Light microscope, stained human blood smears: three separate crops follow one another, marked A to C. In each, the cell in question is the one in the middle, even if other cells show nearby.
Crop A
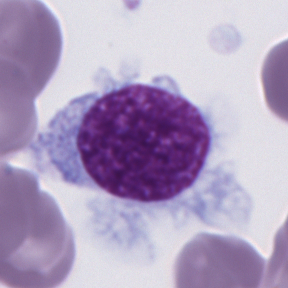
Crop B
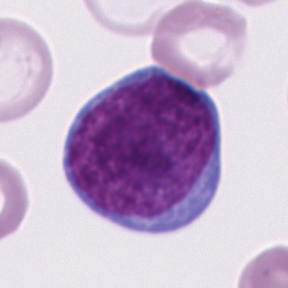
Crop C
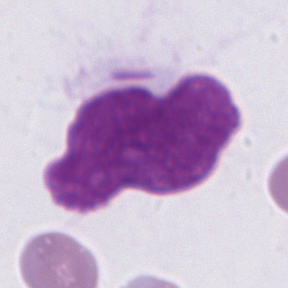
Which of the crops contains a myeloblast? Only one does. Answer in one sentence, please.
Of these crops, it is crop B that shows a myeloblast.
